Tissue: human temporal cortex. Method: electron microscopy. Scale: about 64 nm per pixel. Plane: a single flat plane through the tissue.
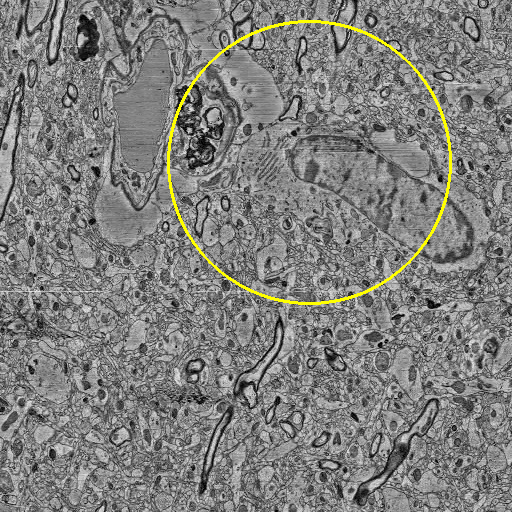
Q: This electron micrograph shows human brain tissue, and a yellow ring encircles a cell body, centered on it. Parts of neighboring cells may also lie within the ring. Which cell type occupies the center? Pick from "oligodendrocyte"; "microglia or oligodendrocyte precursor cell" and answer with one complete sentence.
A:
What sits at the ring's center in this micrograph is a microglial cell or oligodendrocyte precursor cell, among those choices.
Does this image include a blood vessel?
Yes, one shows.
